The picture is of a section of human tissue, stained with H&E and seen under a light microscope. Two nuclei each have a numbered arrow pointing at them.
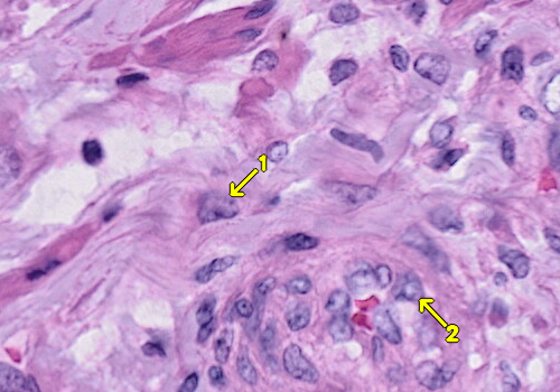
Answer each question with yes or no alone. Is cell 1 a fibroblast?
yes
